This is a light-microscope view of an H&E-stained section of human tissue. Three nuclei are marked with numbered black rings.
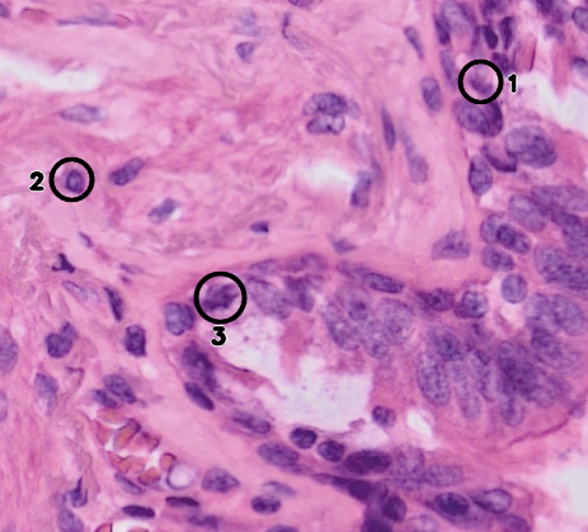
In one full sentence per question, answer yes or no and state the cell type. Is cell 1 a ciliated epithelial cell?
Yes, the numbered cell 1 is a ciliated epithelial cell.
